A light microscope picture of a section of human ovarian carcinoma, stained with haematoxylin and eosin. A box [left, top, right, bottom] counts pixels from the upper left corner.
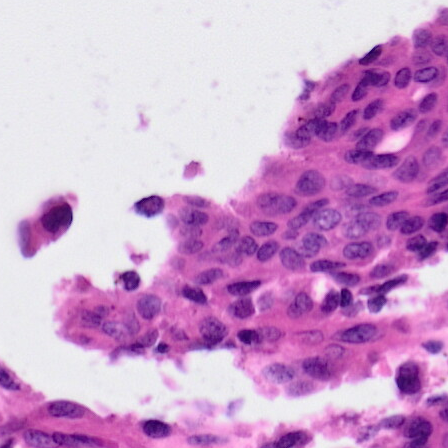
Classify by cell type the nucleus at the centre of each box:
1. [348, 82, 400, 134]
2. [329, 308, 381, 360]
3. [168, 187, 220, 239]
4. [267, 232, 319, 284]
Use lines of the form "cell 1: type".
cell 1: carcinoma cell
cell 2: endothelial cell
cell 3: carcinoma cell
cell 4: carcinoma cell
